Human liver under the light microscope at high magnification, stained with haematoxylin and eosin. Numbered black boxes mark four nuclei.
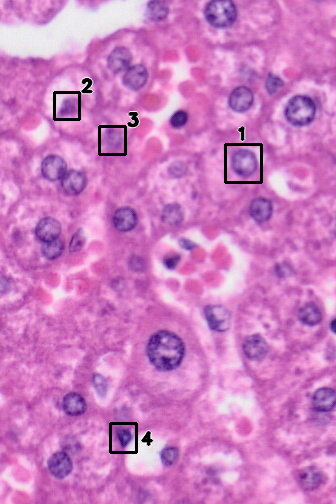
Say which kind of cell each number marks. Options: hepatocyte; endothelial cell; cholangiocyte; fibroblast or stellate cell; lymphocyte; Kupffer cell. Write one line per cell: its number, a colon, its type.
1: hepatocyte
2: hepatocyte
3: hepatocyte
4: fibroblast or stellate cell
